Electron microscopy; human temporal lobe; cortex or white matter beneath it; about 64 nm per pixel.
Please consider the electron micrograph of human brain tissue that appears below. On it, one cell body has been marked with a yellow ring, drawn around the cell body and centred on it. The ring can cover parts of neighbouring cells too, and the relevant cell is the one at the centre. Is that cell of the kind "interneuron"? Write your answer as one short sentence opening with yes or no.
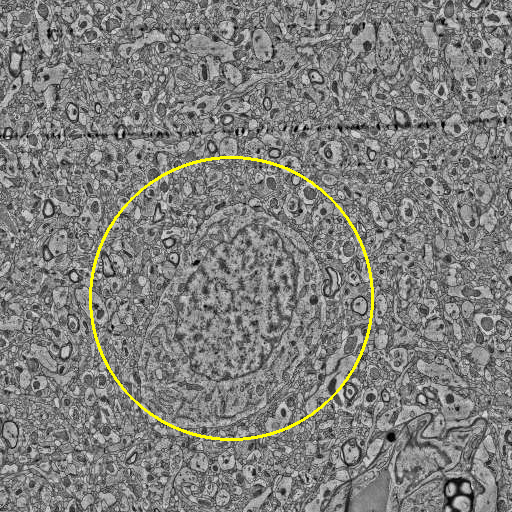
Yes, it is of that kind.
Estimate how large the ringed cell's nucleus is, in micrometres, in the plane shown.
Approximately 10 x 7 micrometres in this plane.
